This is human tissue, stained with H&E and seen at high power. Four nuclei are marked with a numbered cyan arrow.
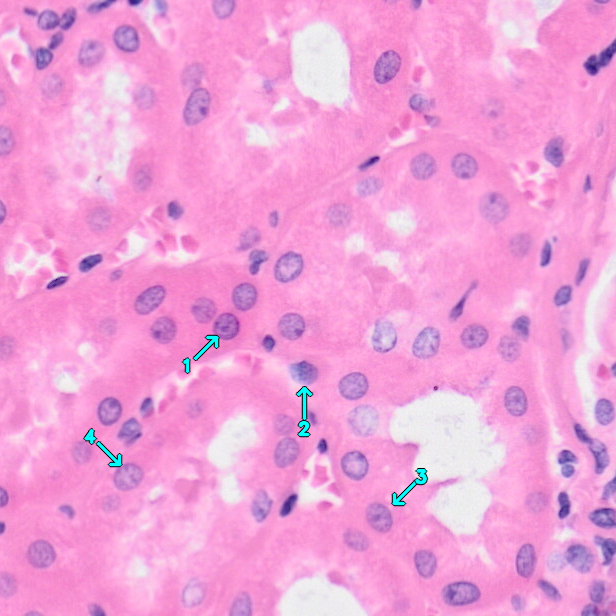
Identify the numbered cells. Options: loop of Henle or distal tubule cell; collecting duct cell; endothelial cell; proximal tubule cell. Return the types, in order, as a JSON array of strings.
["proximal tubule cell", "endothelial cell", "proximal tubule cell", "proximal tubule cell"]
